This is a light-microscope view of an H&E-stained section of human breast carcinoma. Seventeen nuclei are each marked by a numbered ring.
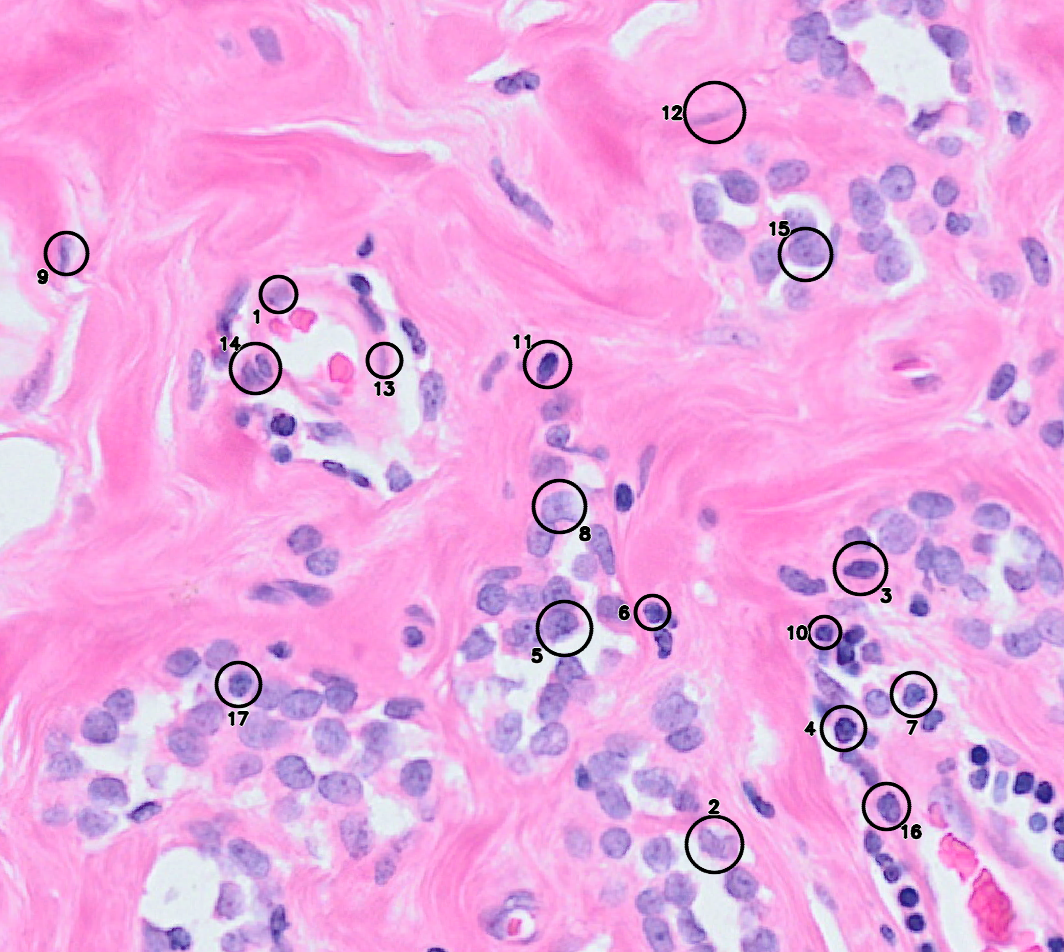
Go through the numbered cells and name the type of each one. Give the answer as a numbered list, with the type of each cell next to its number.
1. endothelial cell
2. carcinoma cell
3. lymphocyte
4. lymphocyte
5. carcinoma cell
6. lymphocyte
7. lymphocyte
8. carcinoma cell
9. fibroblast
10. lymphocyte
11. lymphocyte
12. fibroblast
13. endothelial cell
14. endothelial cell
15. carcinoma cell
16. lymphocyte
17. lymphocyte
